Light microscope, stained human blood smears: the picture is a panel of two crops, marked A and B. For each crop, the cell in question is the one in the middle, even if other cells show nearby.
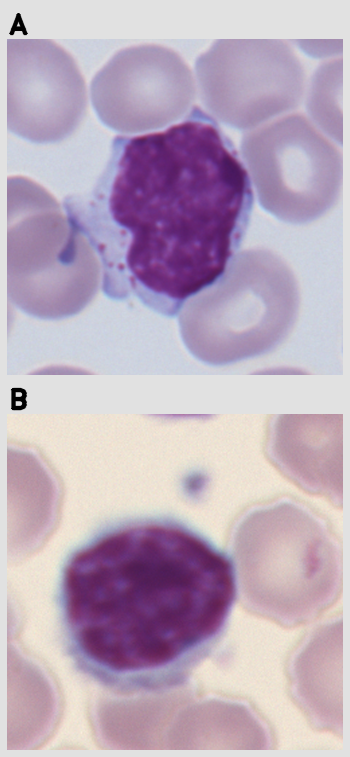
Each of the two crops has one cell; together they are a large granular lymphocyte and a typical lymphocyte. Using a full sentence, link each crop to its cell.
Crop A is occupied by a large granular lymphocyte, and crop B is occupied by a typical lymphocyte.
